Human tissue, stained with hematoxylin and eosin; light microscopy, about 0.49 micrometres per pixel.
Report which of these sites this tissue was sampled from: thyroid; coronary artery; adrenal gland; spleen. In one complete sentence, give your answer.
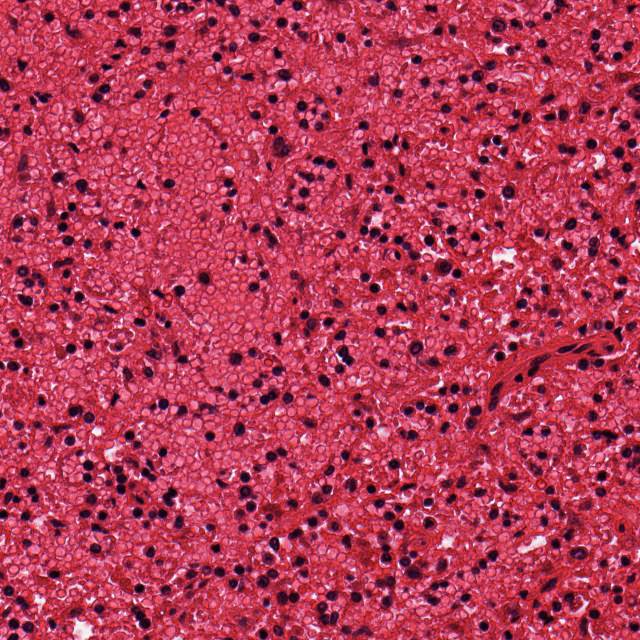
This section represents tissue sampled from the spleen.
